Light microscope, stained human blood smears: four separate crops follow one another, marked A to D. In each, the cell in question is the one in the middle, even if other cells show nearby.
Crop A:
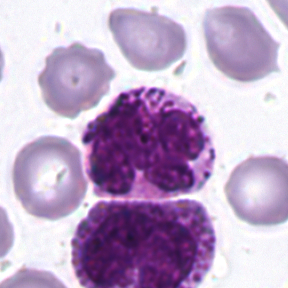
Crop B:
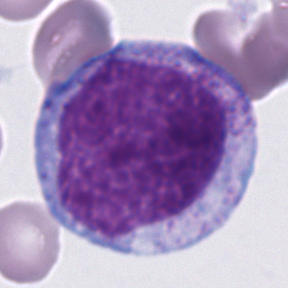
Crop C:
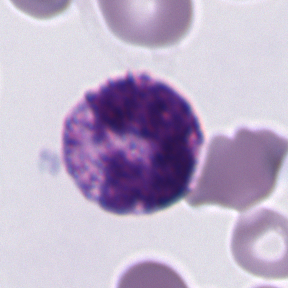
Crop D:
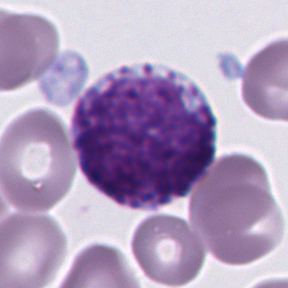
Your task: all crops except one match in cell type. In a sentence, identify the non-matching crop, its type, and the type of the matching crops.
Crop B is the only one that is a promyelocyte; all the others show basophils.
